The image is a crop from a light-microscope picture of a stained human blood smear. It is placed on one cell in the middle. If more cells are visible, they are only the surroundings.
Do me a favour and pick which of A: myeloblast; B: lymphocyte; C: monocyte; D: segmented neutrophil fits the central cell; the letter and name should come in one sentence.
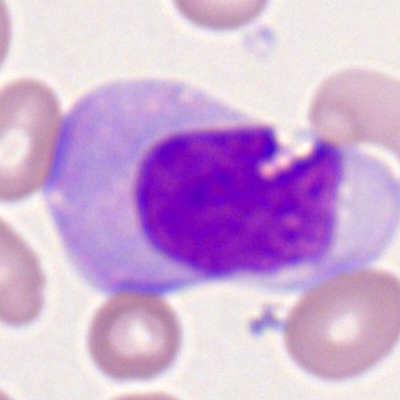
The one cell at the centre is a monocyte, as correctly stated in option C.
